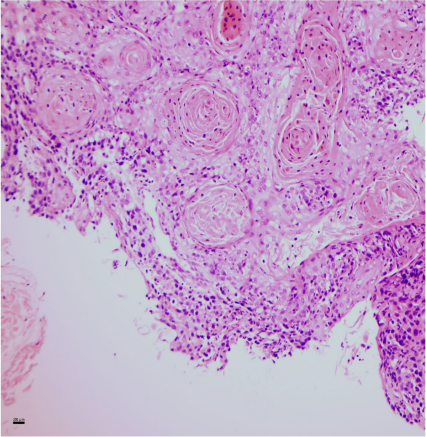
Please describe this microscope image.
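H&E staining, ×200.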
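This is a squamous cell carcinoma, with tumour cells arranged in rounded nests. Many nests have a keratin pearl at their centre: concentric, onion-skin-like whorls of flattened, pink-staining keratinised cells. Between the nests lies a cellular stroma with scattered small, dark nuclei, consistent with invasion of the stroma by the nests. Along the lower left the tissue has a free edge facing a pale, empty space.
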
